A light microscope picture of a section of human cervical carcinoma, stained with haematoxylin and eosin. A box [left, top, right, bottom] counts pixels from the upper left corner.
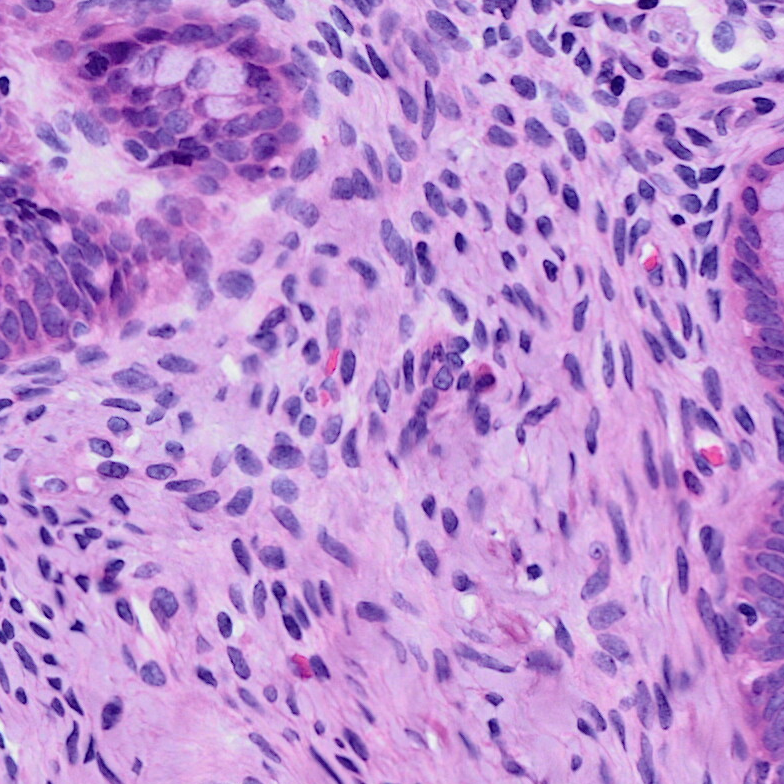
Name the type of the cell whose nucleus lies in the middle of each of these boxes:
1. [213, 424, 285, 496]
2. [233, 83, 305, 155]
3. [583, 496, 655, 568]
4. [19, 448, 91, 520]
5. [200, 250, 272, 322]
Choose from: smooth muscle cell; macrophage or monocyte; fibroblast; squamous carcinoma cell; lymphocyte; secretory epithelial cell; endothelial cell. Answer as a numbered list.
1. fibroblast
2. secretory epithelial cell
3. fibroblast
4. endothelial cell
5. fibroblast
